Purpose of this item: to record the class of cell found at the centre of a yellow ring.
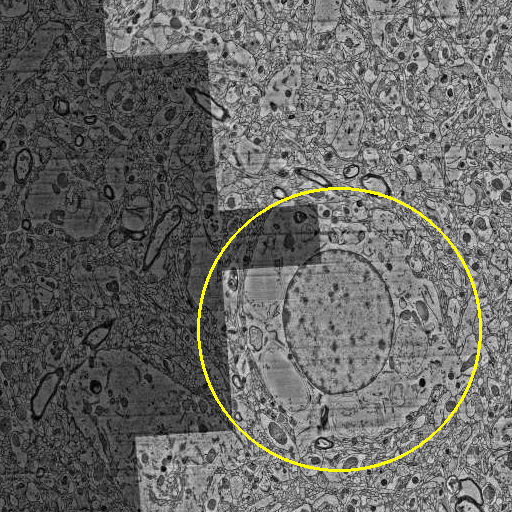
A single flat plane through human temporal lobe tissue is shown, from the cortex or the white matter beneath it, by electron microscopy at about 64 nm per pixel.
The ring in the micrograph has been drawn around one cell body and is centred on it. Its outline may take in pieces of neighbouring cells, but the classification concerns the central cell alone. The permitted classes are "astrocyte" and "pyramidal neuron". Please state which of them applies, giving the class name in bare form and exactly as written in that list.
astrocyte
